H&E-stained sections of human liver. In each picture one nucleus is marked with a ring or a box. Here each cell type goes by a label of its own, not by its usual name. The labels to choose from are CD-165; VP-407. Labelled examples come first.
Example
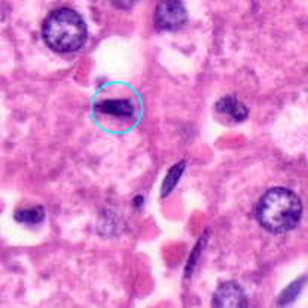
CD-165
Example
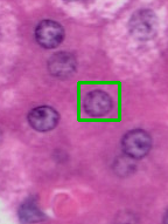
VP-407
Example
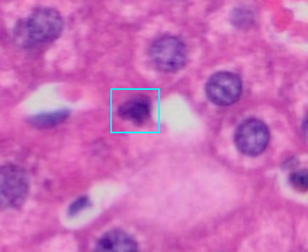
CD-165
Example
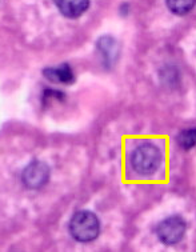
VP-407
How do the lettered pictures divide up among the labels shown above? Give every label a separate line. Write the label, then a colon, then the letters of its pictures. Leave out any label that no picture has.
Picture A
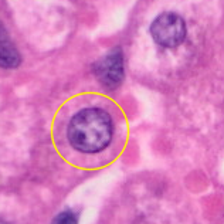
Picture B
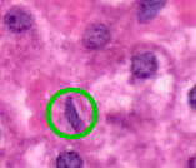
CD-165: B
VP-407: A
